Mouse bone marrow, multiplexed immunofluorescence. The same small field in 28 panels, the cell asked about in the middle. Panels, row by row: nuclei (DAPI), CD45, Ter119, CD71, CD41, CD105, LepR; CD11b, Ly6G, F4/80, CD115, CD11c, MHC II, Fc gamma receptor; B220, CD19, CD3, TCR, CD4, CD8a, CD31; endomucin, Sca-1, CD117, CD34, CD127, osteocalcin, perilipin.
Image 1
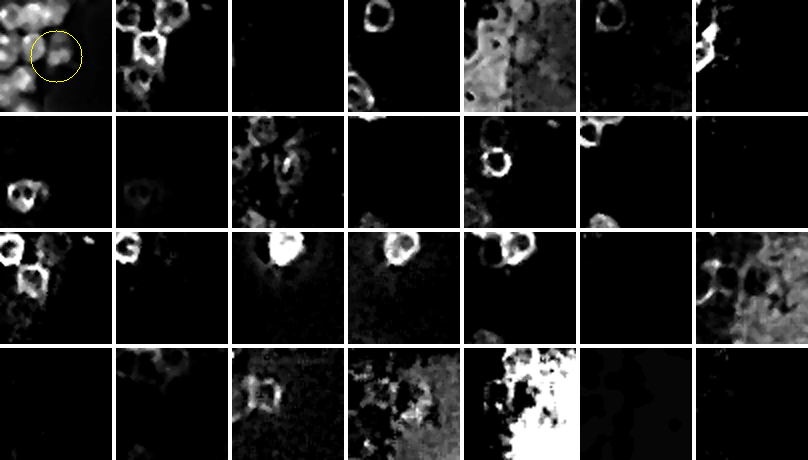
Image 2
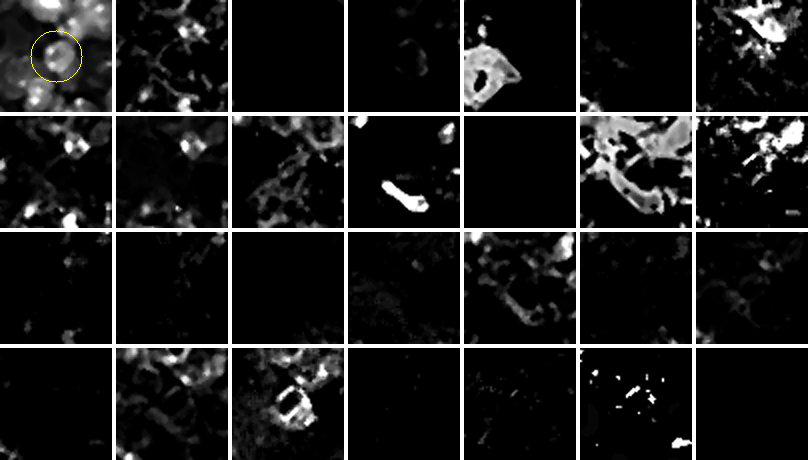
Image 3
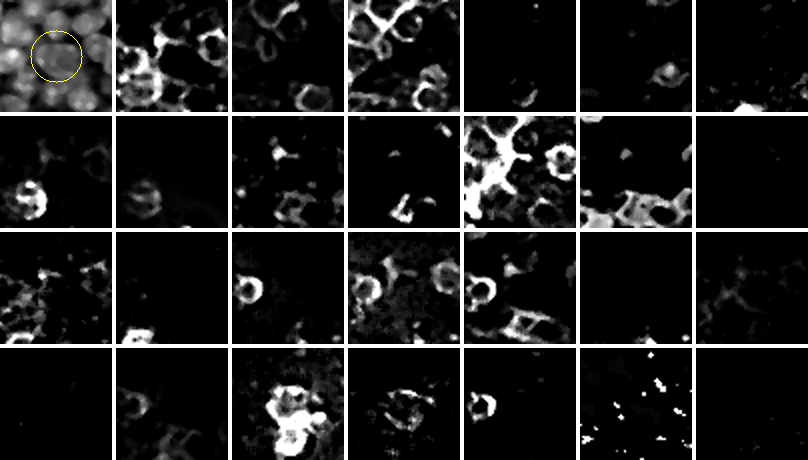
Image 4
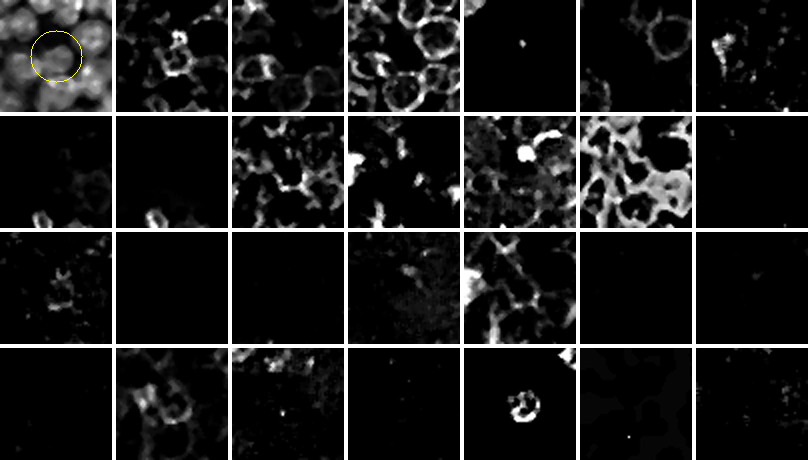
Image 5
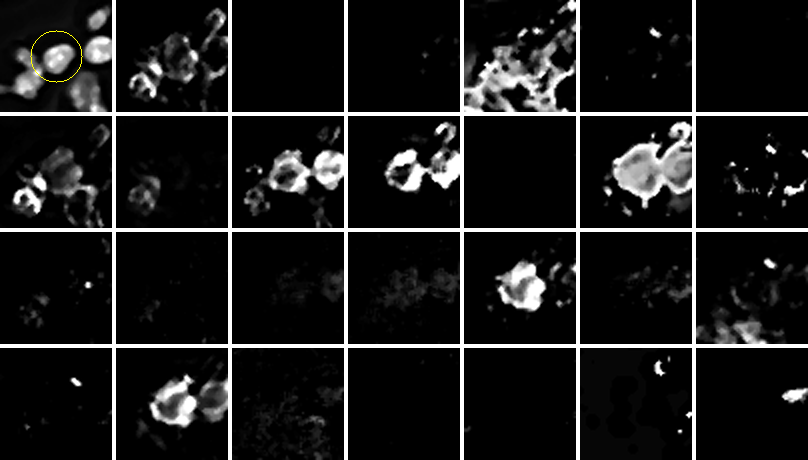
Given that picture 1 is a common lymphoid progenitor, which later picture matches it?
4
